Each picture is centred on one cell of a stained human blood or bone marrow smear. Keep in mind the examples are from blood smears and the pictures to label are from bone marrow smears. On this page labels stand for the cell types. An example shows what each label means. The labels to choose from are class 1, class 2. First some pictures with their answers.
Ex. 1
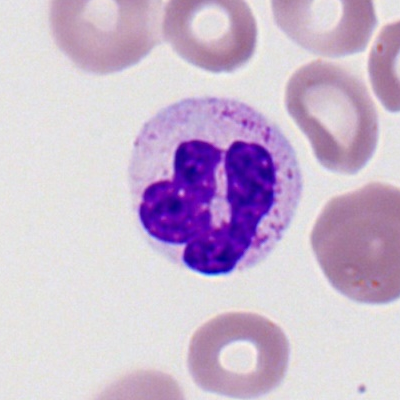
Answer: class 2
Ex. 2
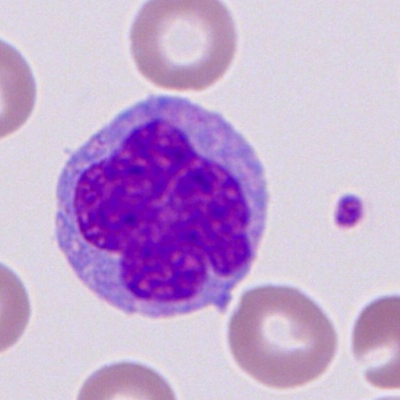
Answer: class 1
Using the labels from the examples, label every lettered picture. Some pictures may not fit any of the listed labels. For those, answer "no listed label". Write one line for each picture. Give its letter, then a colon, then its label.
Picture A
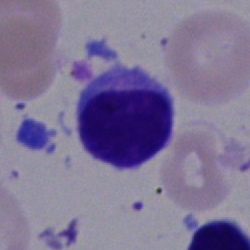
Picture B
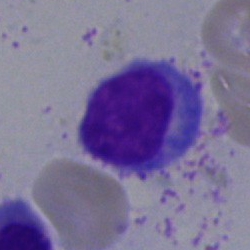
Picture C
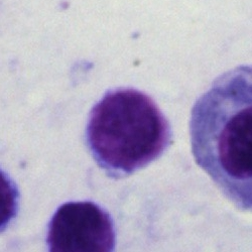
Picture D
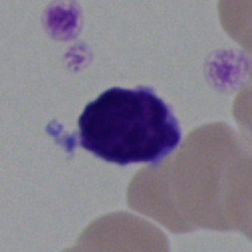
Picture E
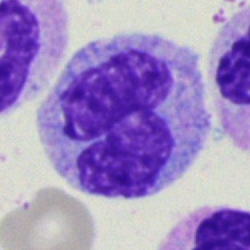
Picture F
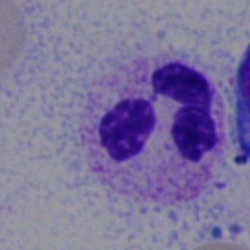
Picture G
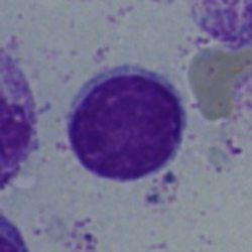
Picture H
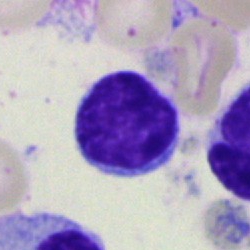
A: no listed label
B: no listed label
C: no listed label
D: no listed label
E: class 1
F: class 2
G: no listed label
H: no listed label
